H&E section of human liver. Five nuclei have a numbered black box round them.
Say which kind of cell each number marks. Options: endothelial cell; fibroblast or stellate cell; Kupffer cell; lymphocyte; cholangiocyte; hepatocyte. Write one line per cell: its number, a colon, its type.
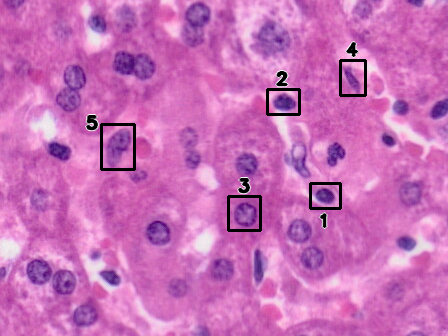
1: lymphocyte
2: lymphocyte
3: hepatocyte
4: endothelial cell
5: Kupffer cell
